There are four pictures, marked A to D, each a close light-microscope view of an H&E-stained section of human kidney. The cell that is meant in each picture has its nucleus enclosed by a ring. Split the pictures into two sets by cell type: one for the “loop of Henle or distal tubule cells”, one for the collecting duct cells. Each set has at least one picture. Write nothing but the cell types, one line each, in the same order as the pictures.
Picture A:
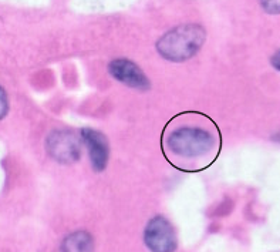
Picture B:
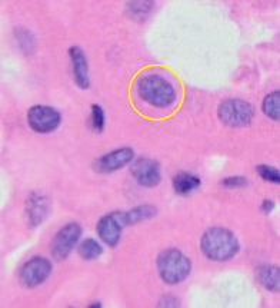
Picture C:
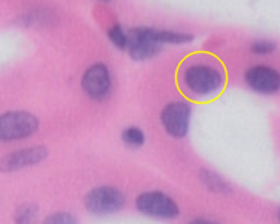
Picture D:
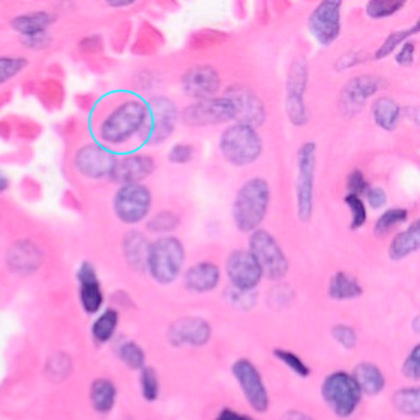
loop of Henle or distal tubule cell
loop of Henle or distal tubule cell
loop of Henle or distal tubule cell
collecting duct cell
